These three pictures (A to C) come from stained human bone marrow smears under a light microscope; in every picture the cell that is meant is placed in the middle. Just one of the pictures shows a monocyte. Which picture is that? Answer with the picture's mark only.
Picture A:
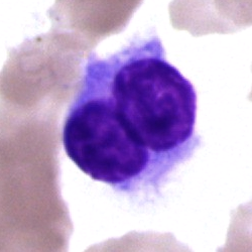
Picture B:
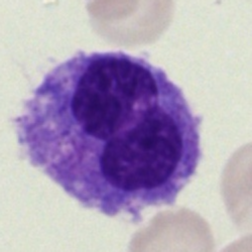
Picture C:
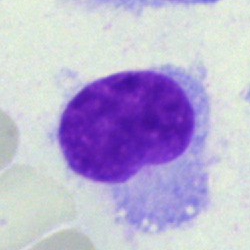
B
